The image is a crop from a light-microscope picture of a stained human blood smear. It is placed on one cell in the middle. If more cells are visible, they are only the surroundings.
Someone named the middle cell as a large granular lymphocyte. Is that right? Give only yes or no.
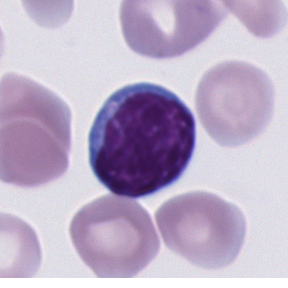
no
